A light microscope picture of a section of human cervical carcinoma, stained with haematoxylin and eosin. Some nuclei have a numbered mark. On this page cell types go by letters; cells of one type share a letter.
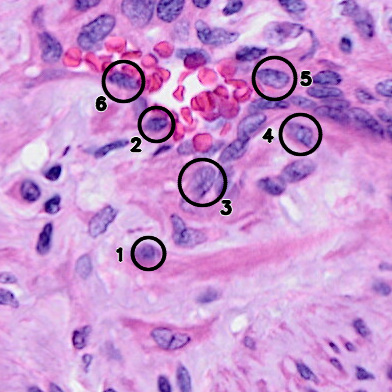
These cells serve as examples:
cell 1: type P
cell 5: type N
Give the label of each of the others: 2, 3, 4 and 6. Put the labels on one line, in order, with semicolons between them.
type N; type N; type P; type N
